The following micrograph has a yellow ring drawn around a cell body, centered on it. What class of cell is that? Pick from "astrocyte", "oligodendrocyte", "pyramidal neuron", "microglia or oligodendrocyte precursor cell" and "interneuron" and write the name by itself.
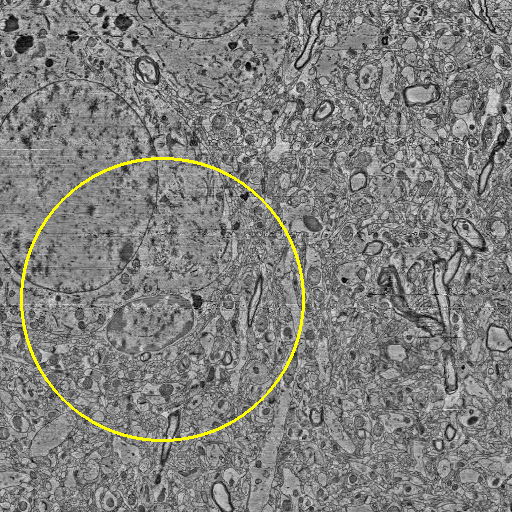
microglia or oligodendrocyte precursor cell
